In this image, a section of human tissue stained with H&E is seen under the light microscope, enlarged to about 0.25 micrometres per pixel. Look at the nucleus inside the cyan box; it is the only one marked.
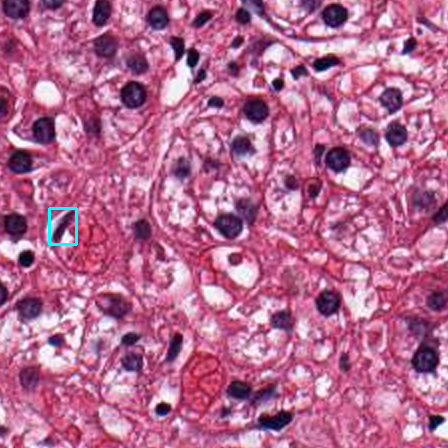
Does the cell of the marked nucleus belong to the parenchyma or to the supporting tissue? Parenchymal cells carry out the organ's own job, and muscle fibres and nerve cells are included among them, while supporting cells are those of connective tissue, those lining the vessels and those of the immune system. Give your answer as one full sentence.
Forming part of a supporting cell is the marked nucleus.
